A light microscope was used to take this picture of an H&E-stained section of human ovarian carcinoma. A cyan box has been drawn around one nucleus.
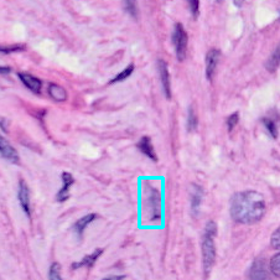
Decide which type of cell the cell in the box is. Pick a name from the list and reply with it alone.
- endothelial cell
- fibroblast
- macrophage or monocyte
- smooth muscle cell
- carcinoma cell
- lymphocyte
fibroblast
